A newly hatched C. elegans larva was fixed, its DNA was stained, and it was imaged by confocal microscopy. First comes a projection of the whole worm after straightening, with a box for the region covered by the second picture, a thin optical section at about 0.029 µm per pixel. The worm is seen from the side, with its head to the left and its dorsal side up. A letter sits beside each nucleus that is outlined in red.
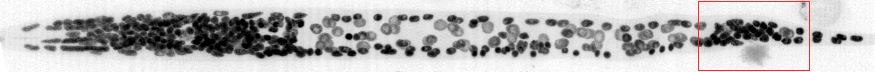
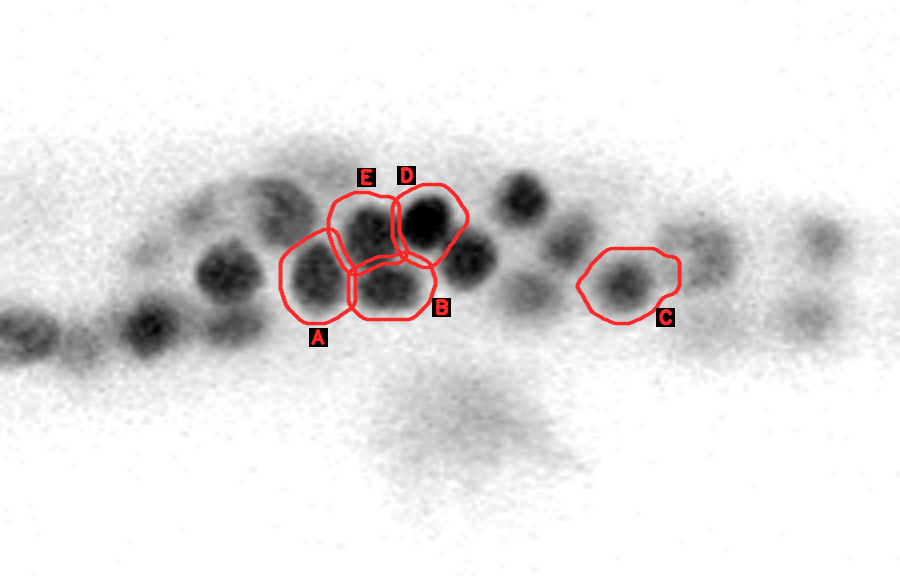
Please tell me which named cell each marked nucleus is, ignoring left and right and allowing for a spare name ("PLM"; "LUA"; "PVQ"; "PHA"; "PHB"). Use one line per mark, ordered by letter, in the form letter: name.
A: PVQ
B: PHA
C: PLM
D: LUA
E: PHB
